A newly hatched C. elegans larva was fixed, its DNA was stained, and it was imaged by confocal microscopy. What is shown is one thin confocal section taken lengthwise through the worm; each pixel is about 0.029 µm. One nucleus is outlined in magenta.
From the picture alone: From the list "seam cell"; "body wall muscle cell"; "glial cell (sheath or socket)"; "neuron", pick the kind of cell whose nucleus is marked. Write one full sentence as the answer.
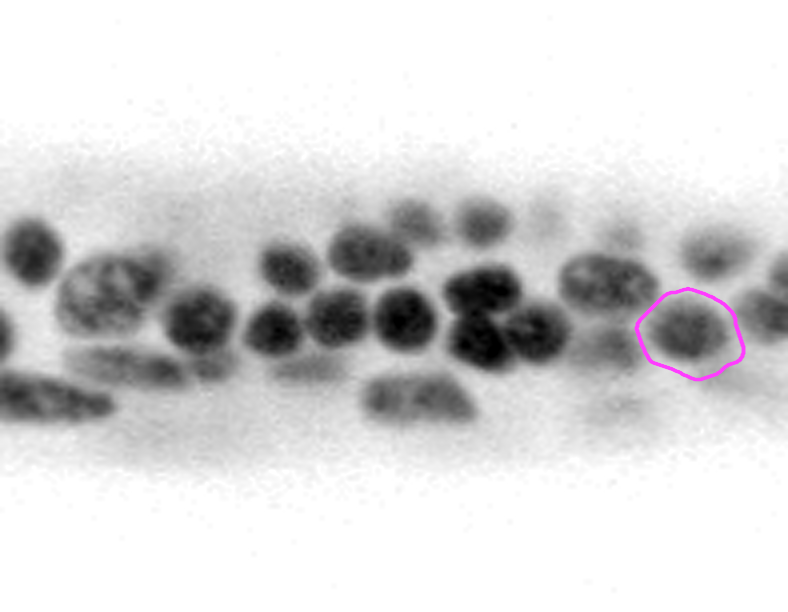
The marked cell is a glial cell (sheath or socket).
